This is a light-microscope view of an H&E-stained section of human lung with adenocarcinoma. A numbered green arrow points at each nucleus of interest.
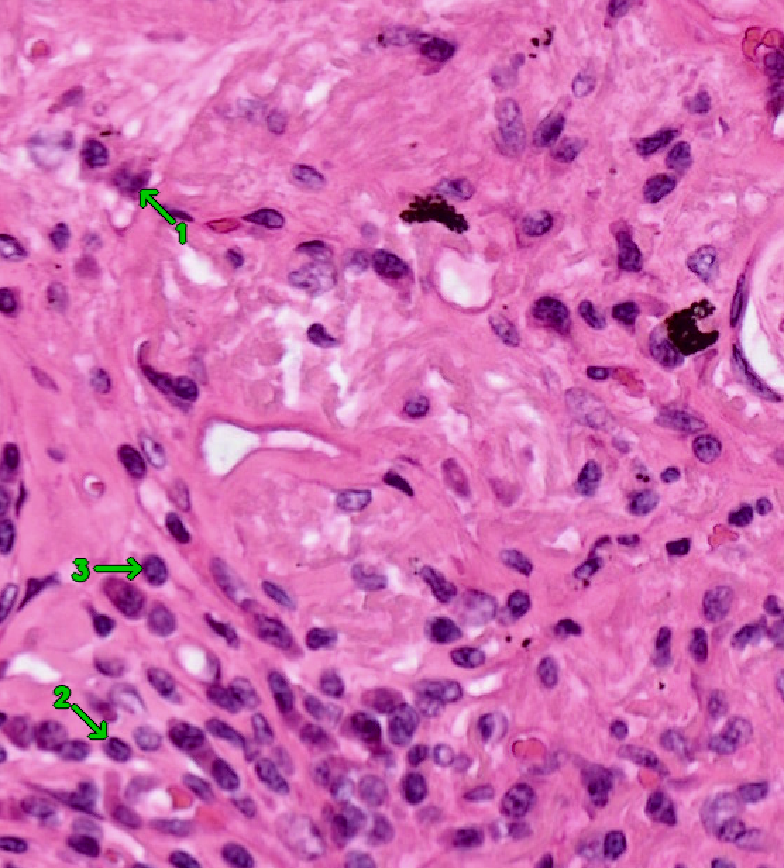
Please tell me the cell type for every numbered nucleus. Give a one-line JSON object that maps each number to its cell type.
{"1": "plasma cell", "2": "lymphocyte", "3": "lymphocyte"}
